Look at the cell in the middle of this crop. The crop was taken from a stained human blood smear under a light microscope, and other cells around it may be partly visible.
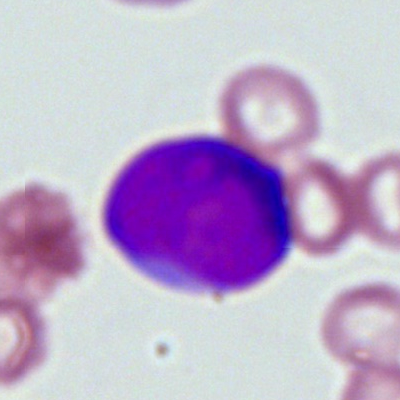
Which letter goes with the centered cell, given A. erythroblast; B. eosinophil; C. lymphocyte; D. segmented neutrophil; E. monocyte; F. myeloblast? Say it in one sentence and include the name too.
The cell in the center of this crop is a myeloblast, so option F is the one to pick.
